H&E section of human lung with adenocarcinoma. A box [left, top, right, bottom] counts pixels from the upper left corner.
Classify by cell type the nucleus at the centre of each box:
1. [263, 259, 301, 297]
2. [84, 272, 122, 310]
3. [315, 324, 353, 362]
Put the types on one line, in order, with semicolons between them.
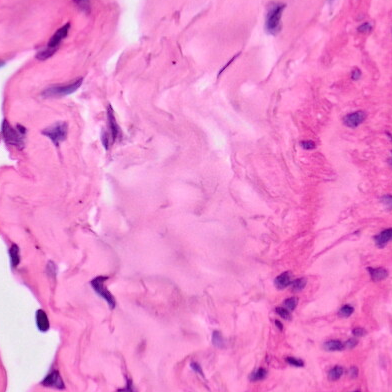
smooth muscle cell or pericyte; fibroblast; smooth muscle cell or pericyte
